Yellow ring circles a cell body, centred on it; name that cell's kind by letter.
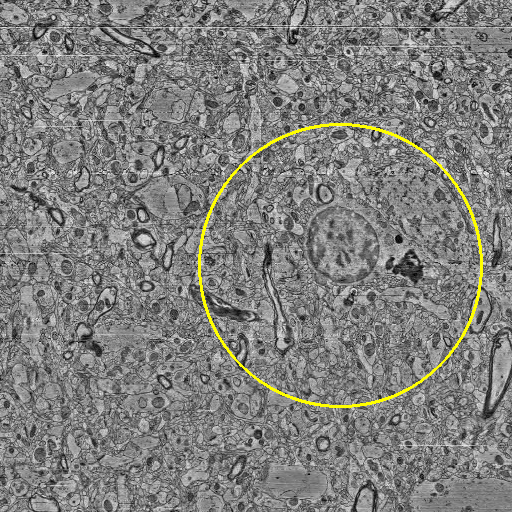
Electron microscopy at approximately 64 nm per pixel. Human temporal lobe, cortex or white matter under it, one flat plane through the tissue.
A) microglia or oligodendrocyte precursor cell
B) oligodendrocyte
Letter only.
B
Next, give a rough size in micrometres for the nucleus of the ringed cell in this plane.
In this plane the nucleus is about 5 micrometres across.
